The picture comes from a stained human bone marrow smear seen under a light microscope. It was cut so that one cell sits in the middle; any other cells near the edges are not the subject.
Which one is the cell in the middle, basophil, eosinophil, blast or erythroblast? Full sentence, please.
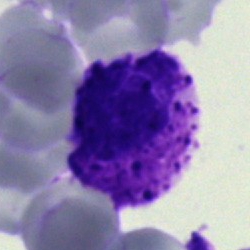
Among the cells in view, the one in the middle is a basophil.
